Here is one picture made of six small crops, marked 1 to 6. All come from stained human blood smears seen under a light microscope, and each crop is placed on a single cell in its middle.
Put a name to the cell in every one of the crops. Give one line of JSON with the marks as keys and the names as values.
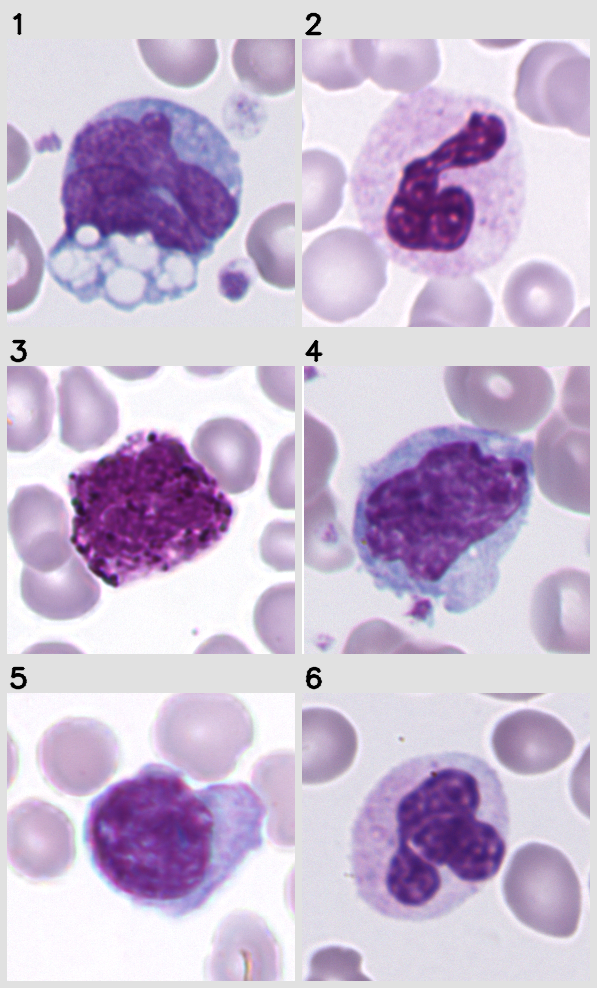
{"1": "monocyte", "2": "neutrophil", "3": "basophil", "4": "monocyte", "5": "plasma cell", "6": "neutrophil"}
